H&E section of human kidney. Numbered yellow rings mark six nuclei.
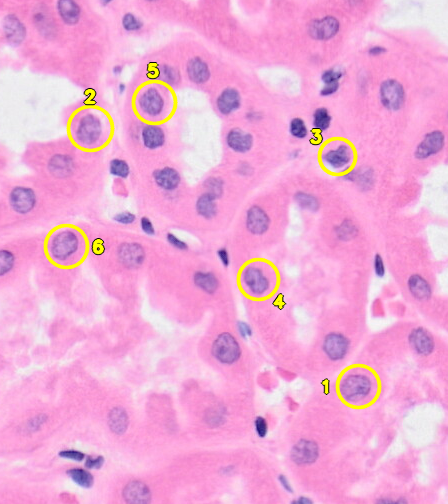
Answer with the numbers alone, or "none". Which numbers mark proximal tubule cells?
1, 2, 4, 6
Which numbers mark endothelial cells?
3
